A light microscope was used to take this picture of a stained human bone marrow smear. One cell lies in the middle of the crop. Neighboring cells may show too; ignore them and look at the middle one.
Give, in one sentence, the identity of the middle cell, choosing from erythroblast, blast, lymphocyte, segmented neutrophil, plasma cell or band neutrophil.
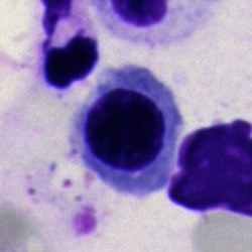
The central cell in this smear crop is an erythroblast.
